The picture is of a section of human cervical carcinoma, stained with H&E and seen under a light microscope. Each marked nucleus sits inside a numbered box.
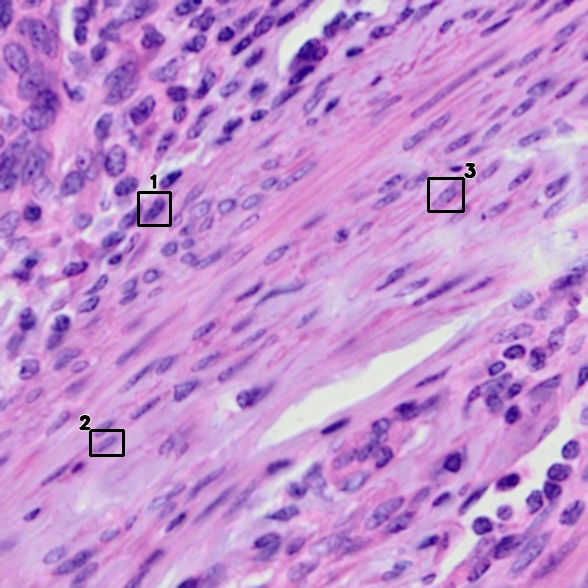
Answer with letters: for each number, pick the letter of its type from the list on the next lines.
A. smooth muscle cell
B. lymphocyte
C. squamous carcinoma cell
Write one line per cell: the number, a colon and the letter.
1: B
2: A
3: A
